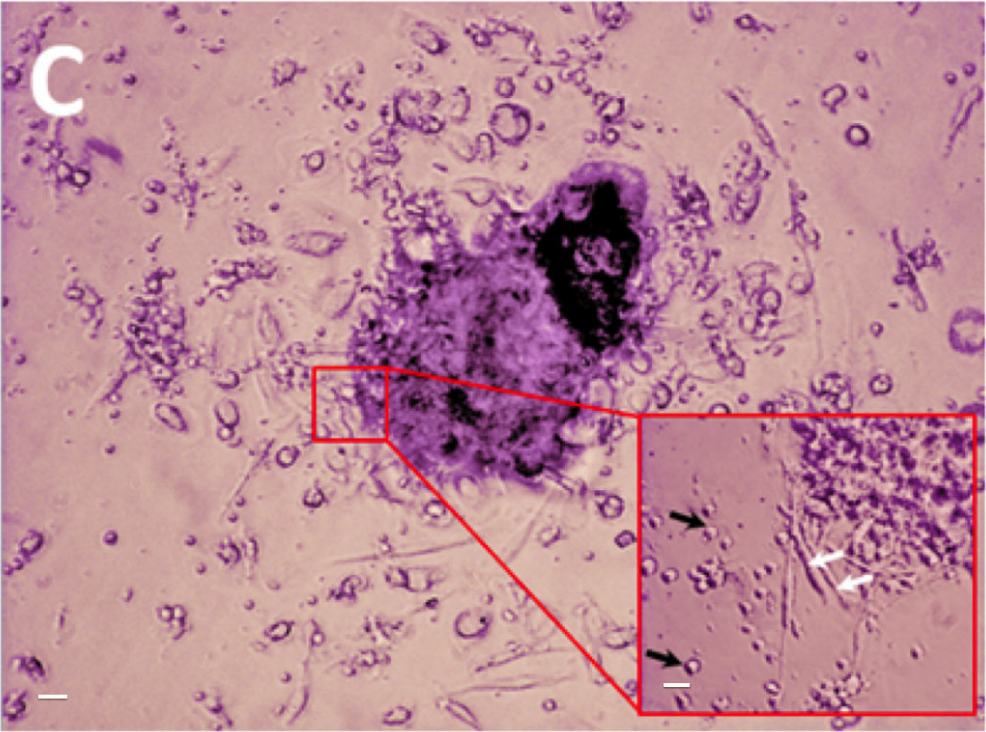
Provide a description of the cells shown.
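Further out, single small round cells and small groups of cells are scattered over the pale background. The enlarged inset shows the edge of the cluster, where spindle-shaped cells extend from the packed rounded cells and small round cells lie free nearby.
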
